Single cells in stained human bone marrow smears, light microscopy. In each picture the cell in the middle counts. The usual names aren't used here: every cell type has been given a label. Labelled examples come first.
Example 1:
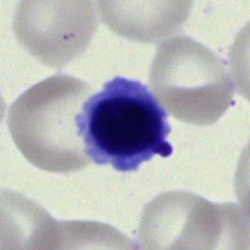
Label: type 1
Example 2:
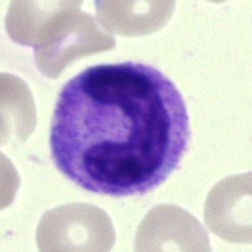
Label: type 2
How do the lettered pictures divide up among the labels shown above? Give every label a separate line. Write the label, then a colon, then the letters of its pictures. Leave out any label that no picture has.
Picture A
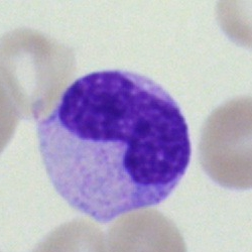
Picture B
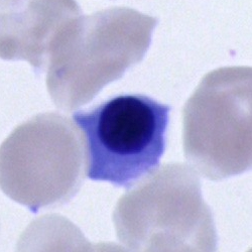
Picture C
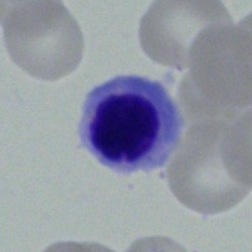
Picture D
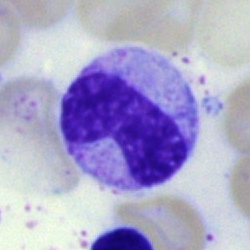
type 1: B, C
type 2: A, D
